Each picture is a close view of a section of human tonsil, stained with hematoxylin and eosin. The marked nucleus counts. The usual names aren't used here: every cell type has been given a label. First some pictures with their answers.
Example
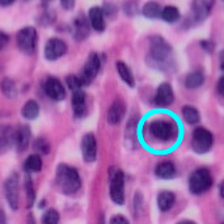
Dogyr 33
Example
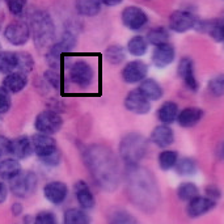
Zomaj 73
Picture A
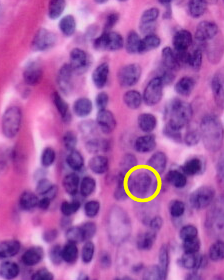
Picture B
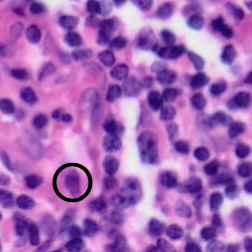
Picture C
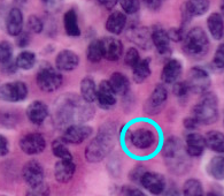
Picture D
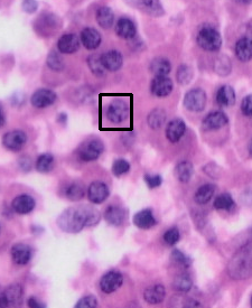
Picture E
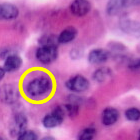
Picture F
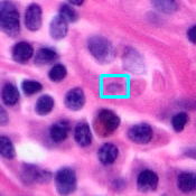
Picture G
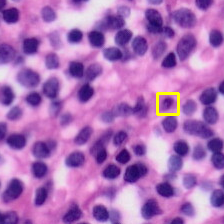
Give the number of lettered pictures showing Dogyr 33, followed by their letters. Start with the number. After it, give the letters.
2, namely D, E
